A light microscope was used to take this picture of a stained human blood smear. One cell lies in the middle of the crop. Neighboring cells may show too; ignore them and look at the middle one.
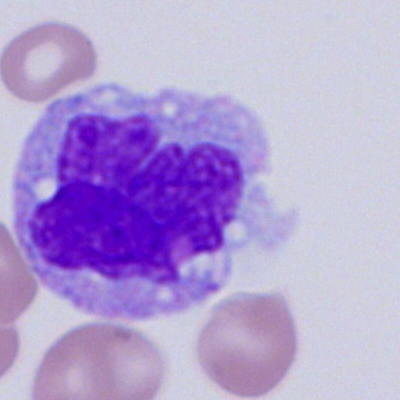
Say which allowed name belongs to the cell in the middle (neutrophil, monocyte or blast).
monocyte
